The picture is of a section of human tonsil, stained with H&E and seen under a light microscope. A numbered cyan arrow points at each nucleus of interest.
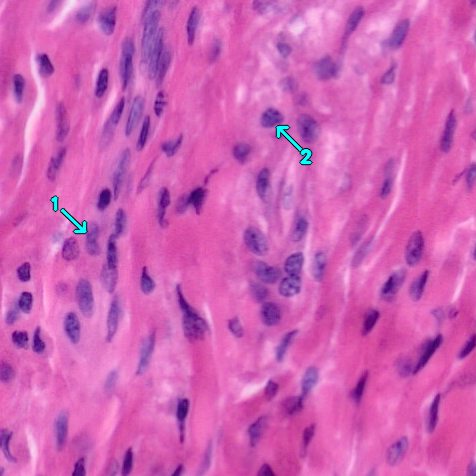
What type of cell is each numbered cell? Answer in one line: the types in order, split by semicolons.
endothelial cell; mast cell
